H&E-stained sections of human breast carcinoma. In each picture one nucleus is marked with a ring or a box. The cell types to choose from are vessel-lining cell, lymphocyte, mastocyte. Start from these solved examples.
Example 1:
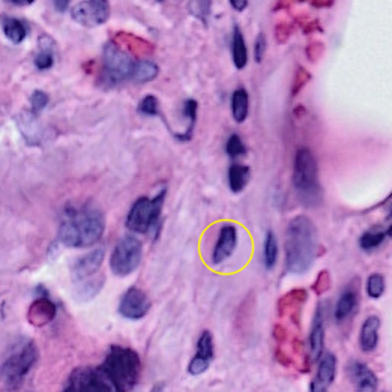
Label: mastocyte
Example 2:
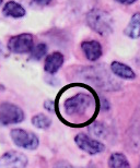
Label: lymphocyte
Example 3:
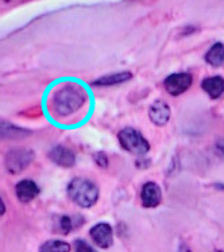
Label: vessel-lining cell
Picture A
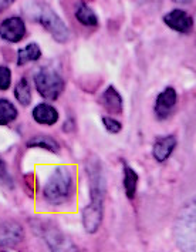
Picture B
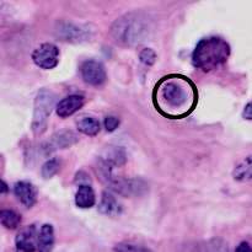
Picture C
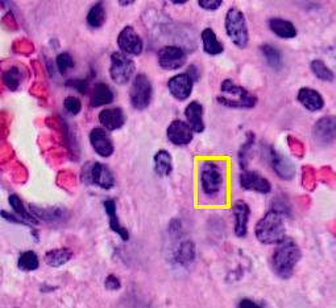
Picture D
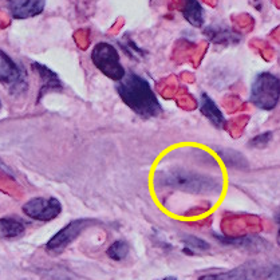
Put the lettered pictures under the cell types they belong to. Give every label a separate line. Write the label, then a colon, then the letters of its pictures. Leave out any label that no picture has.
vessel-lining cell: A, D
mastocyte: B, C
